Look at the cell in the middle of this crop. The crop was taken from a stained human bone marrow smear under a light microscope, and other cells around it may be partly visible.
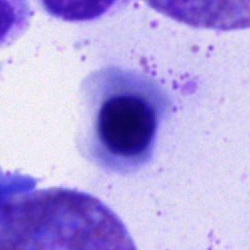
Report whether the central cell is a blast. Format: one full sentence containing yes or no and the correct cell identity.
No, the centred cell is an erythroblast instead of a blast.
